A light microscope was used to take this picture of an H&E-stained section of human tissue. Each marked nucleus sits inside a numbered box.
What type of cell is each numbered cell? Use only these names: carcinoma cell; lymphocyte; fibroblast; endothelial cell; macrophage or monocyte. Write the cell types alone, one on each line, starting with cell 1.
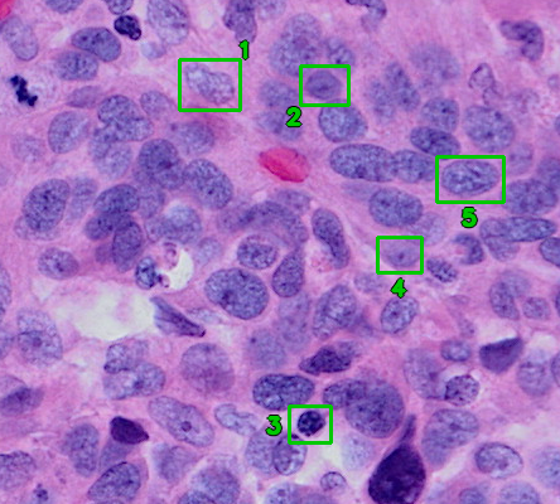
fibroblast
carcinoma cell
lymphocyte
carcinoma cell
carcinoma cell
